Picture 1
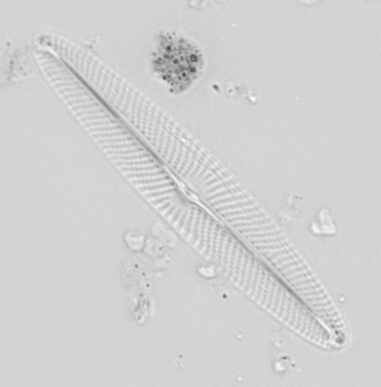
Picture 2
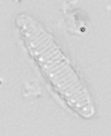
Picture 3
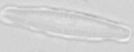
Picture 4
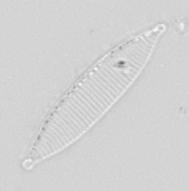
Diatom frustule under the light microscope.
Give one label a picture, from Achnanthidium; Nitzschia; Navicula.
Picture 1: Navicula
Picture 2: Nitzschia
Picture 3: Achnanthidium
Picture 4: Nitzschia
